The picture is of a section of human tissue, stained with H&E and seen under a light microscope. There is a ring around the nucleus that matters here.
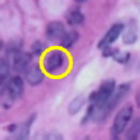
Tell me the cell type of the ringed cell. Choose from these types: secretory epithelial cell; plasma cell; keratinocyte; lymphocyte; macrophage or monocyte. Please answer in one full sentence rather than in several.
It is a secretory epithelial cell that the ringed cell represents.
